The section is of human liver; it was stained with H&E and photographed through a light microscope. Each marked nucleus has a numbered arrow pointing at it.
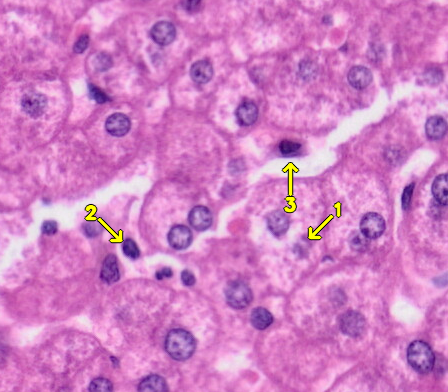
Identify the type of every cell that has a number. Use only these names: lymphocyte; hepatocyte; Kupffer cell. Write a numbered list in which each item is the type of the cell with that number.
1. hepatocyte
2. lymphocyte
3. Kupffer cell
